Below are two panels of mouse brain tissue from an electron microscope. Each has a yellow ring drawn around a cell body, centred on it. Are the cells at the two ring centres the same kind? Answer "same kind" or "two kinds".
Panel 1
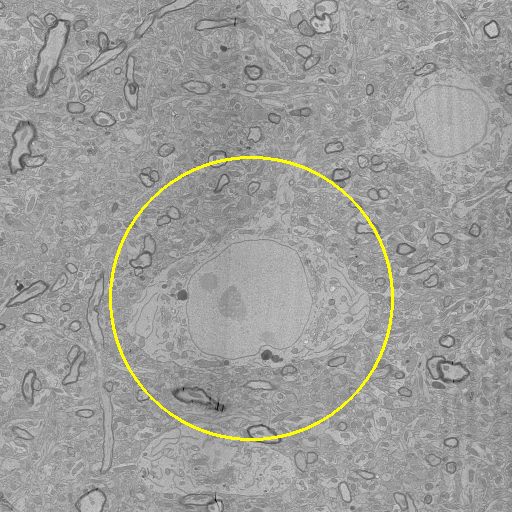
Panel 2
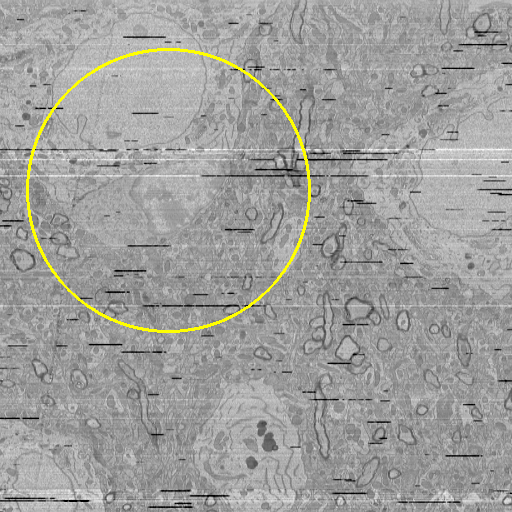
two kinds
